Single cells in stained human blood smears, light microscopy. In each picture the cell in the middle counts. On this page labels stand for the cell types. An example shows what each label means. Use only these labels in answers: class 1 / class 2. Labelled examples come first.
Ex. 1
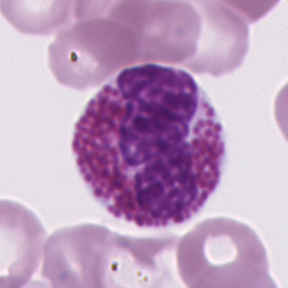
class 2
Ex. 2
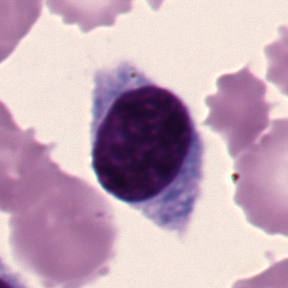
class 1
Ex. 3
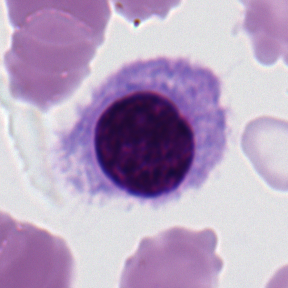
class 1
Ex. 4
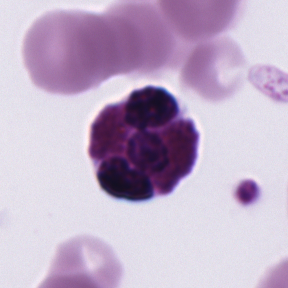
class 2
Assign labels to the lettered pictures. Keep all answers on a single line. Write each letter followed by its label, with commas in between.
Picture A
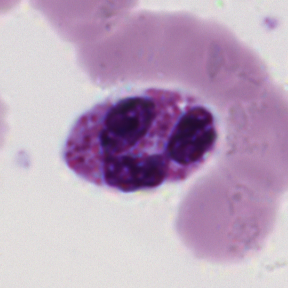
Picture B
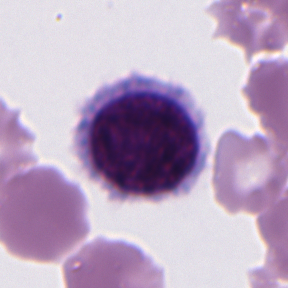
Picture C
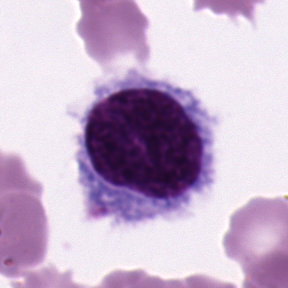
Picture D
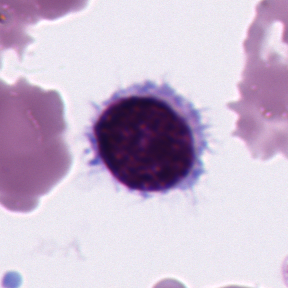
A class 2, B class 1, C class 1, D class 1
